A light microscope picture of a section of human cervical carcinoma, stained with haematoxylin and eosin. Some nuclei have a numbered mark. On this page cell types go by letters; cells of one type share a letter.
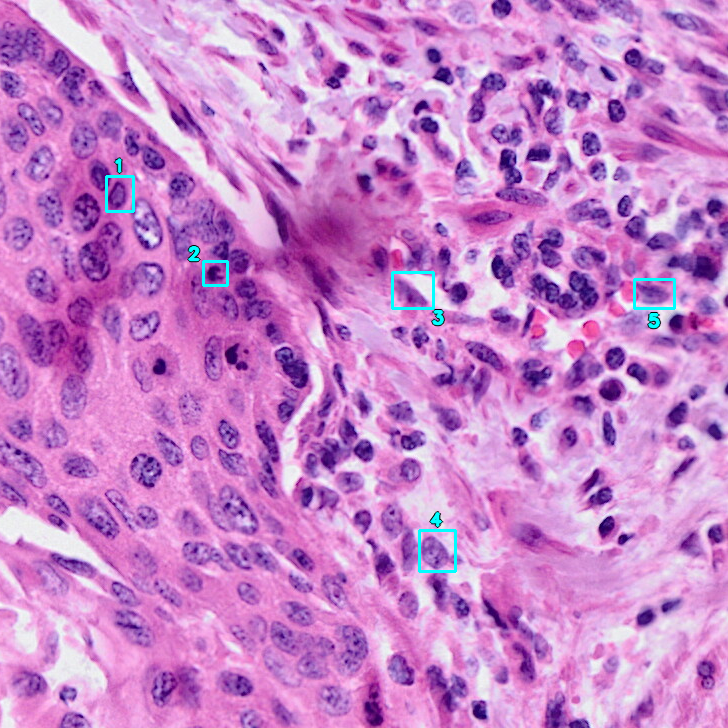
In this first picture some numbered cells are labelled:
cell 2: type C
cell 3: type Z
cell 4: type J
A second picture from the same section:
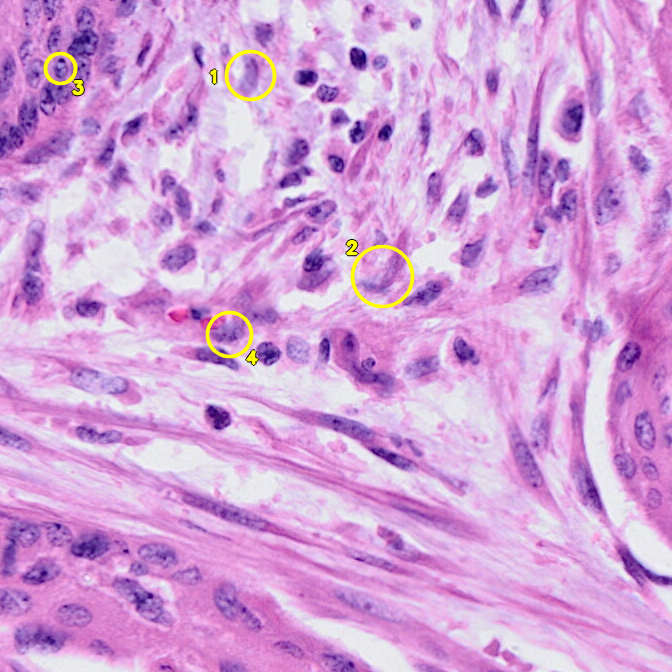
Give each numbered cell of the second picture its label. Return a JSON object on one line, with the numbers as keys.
{"1": "type J", "2": "type J", "3": "type C", "4": "type Z"}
